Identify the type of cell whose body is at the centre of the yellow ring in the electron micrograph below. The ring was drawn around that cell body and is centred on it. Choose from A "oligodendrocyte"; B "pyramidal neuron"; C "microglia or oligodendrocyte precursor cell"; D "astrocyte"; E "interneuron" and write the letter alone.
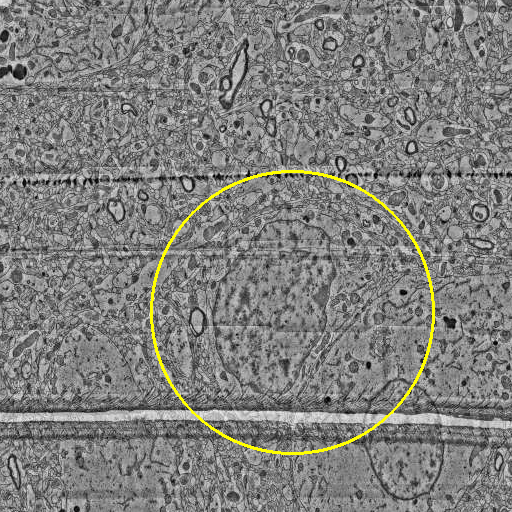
E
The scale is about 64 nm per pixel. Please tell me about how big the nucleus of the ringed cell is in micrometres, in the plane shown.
The nucleus is approximately 11 micrometres long but only about 7 wide, clearly longer than it is wide in this plane.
